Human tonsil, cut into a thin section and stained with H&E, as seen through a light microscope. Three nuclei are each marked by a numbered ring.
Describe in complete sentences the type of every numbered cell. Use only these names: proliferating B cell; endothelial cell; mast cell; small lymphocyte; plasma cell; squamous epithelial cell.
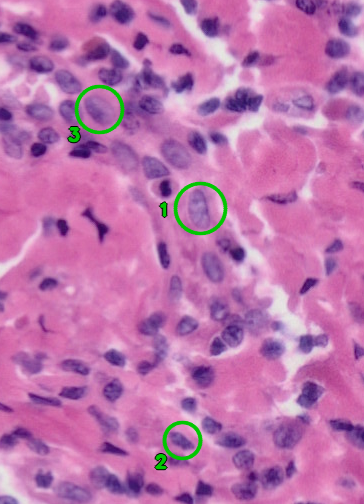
Cells 1 and 3 are endothelial cells. Cell 2 is a mast cell.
